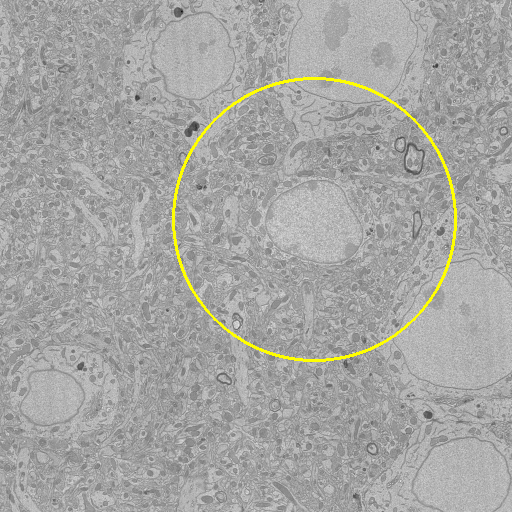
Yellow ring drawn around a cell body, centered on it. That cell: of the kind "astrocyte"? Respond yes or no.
yes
